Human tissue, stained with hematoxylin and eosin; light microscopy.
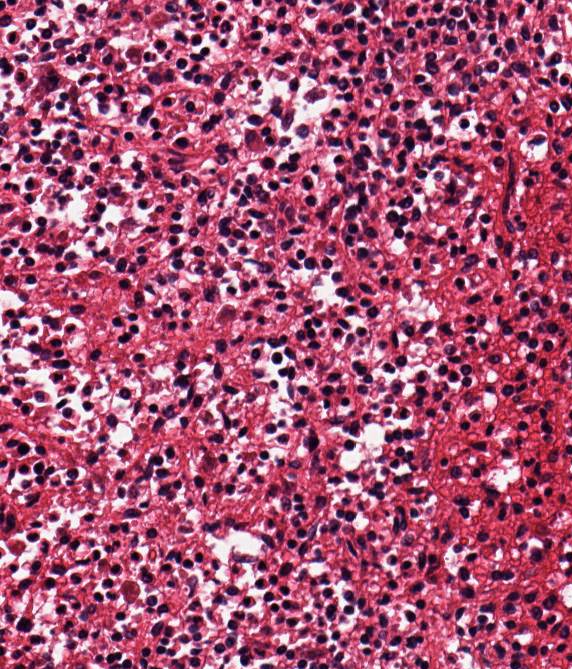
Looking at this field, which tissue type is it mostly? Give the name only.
red pulp of the spleen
